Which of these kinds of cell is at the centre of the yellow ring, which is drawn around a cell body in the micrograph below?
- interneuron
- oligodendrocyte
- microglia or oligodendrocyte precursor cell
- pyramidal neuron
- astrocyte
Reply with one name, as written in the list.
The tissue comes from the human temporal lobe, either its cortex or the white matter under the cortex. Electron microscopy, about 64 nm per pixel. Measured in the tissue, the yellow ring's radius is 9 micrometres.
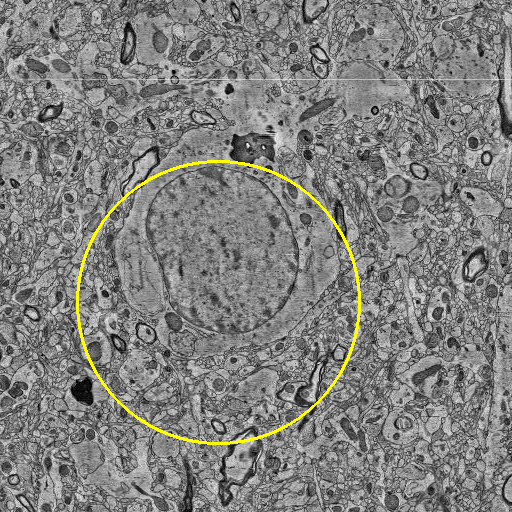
astrocyte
